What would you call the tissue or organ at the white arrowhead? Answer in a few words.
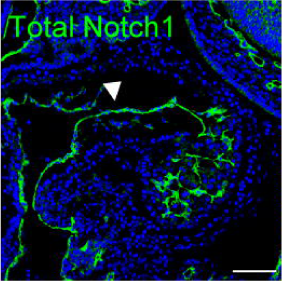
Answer: Endocardium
